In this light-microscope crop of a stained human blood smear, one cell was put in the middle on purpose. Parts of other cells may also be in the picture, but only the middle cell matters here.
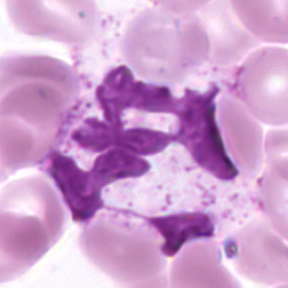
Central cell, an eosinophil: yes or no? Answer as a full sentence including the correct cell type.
No, the cell in the centre of the crop is a neutrophil as opposed to an eosinophil.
